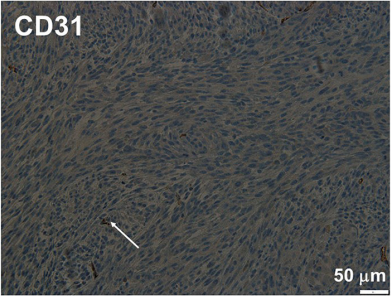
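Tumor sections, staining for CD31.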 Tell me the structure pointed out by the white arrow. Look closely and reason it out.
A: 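The arrow points to a small brown-stained profile among blue nuclei.
Conclusion: capillaries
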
